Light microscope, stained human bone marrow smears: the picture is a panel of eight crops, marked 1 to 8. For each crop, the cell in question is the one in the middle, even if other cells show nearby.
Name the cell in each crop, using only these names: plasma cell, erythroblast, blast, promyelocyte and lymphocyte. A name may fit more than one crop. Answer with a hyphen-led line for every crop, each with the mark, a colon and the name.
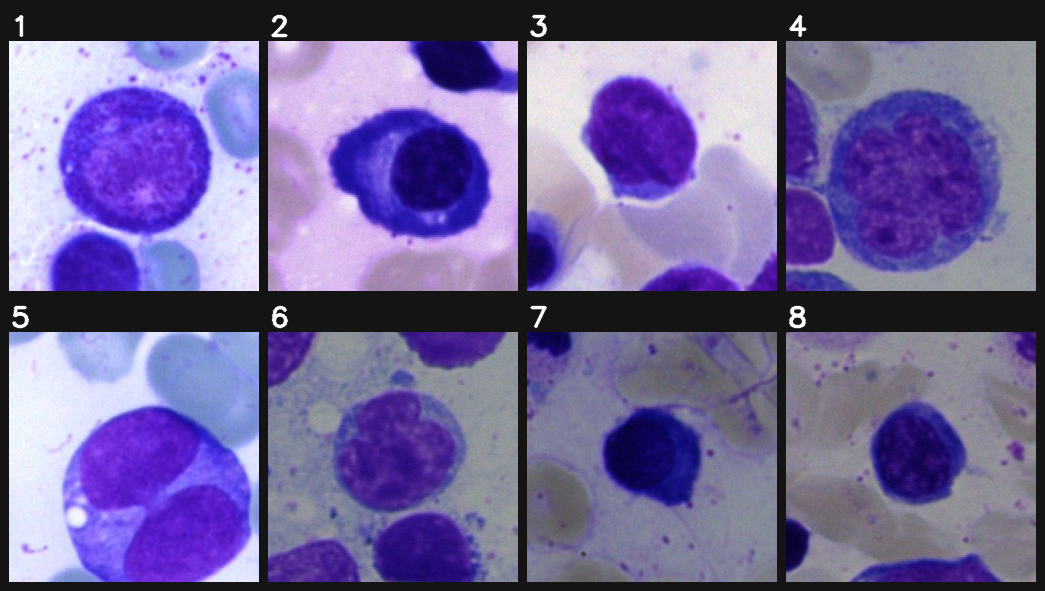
- 1: promyelocyte
- 2: plasma cell
- 3: blast
- 4: blast
- 5: blast
- 6: lymphocyte
- 7: plasma cell
- 8: lymphocyte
